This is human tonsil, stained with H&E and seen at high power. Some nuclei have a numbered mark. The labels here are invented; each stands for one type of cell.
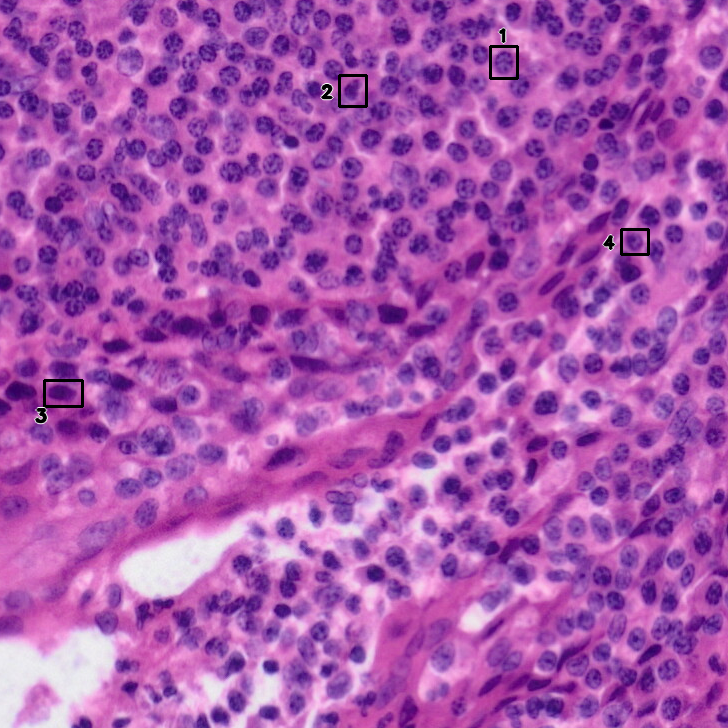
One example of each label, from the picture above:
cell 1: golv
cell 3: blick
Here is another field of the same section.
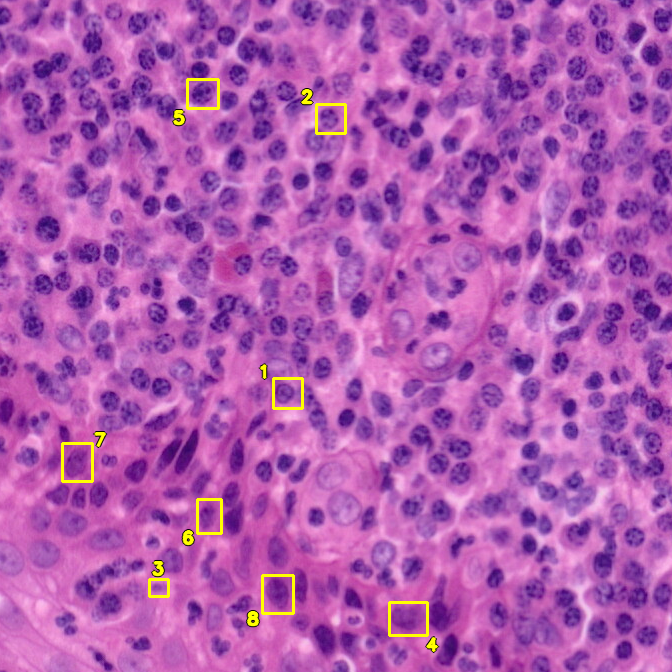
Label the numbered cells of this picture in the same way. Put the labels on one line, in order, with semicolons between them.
golv; golv; blick; blick; golv; blick; blick; blick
